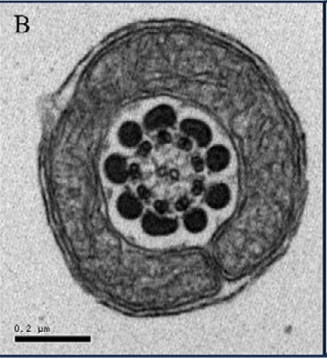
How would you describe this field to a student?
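A cross section through the midpiece of a sperm tail. At the centre lies the axoneme, a ring of microtubule doublets around a central pair, enclosed by a ring of large, very dense rounded outer fibres of unequal size. The whole is bounded by a thin plasma membrane, which forms a small fold at one side. A pale clear zone separates the dense fibres from the mitochondrial ring.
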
